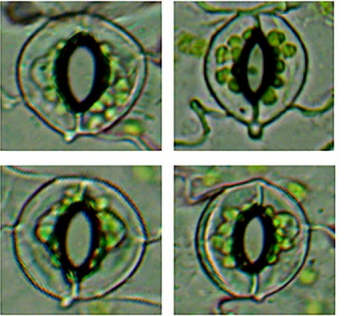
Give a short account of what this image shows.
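Small round green chloroplasts are clustered in the cytoplasm of the paired cells. The pores differ in width between images, ranging from a wide oval to a narrower slit.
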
